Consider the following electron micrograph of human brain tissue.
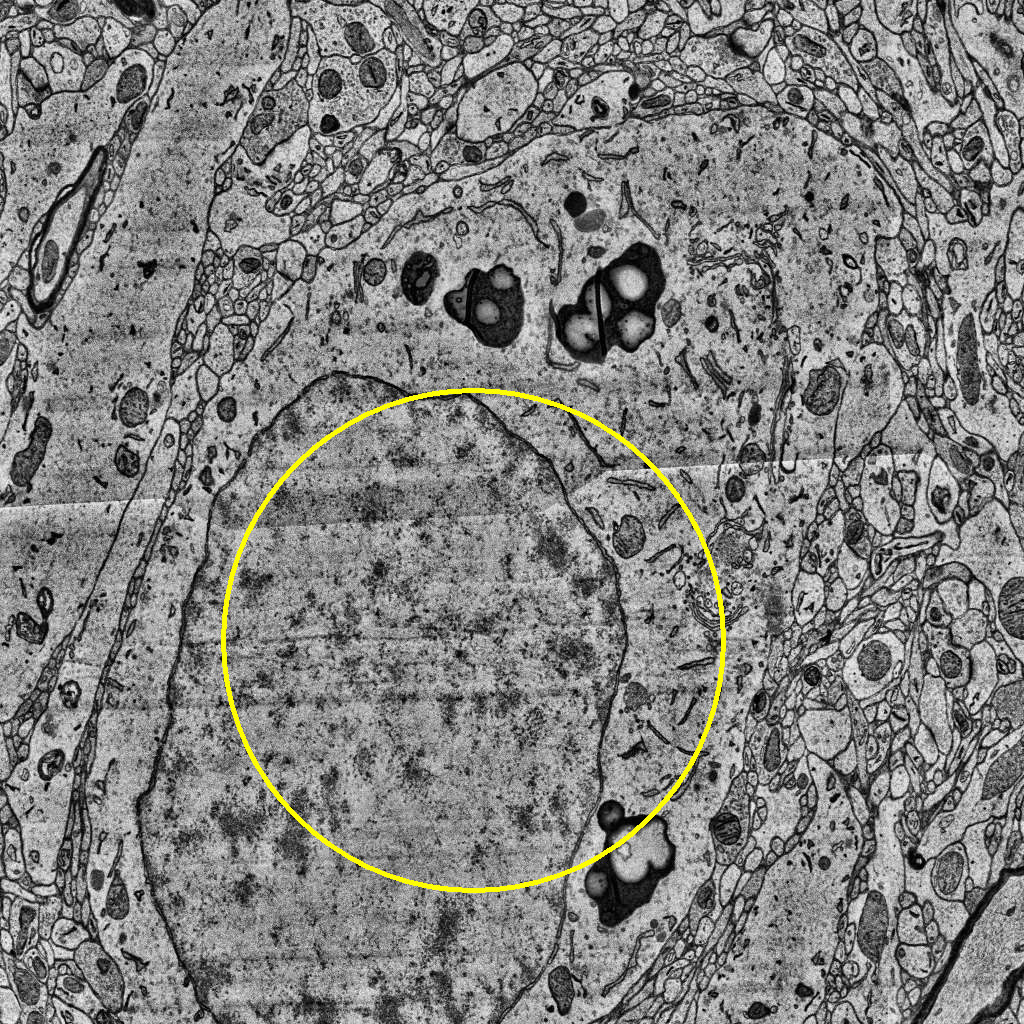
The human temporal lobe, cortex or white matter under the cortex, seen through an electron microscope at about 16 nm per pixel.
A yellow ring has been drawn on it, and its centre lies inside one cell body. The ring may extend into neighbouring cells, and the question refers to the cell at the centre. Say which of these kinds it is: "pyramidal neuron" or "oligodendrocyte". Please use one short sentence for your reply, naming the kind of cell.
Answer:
The centre of the ring falls on a pyramidal neuron.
